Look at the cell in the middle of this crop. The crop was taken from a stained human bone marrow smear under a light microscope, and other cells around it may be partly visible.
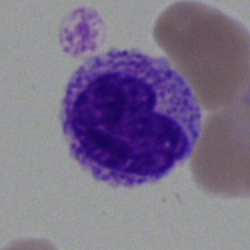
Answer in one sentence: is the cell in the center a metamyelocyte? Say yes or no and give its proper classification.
Yes, the cell placed centrally within the crop is a metamyelocyte.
